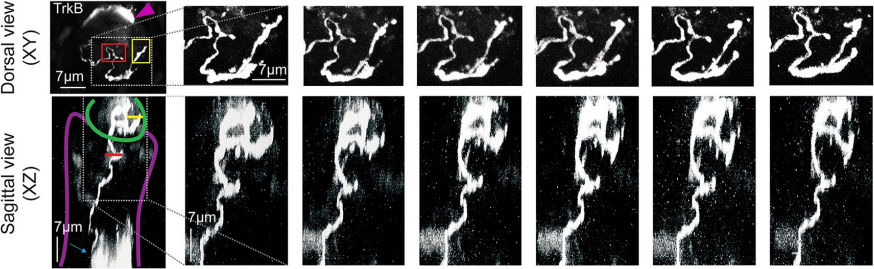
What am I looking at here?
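In the side view, a single thin, beaded fiber rises through a narrow core and then branches into several looping, irregular processes at the top, within a rounded region. From above, the branches form a tangled cluster of thick, bright, curving segments. Across the series the overall branching pattern is largely the same, with only small changes at branch ends.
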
